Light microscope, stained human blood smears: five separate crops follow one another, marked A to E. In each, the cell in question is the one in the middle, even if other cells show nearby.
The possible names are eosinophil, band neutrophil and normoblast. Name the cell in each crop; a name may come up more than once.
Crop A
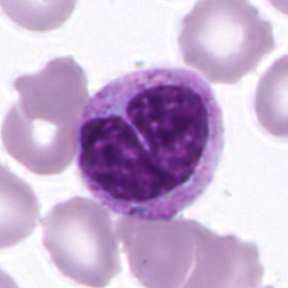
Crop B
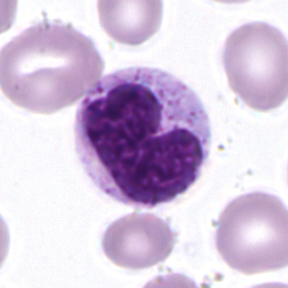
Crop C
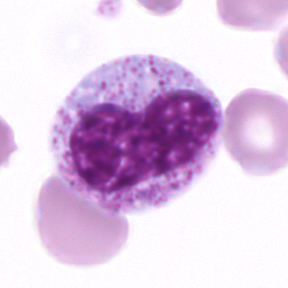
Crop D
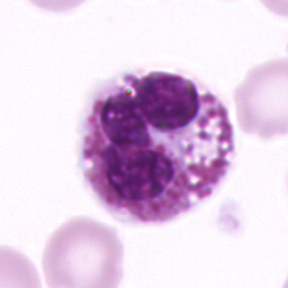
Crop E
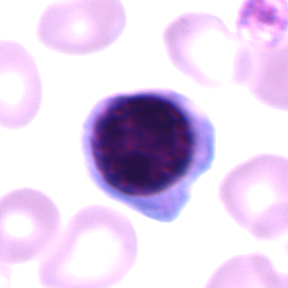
A: band neutrophil
B: band neutrophil
C: band neutrophil
D: eosinophil
E: normoblast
